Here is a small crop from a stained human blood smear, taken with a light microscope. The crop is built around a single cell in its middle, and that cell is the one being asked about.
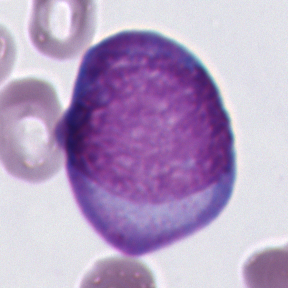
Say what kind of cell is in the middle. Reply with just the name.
atypical promyelocyte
